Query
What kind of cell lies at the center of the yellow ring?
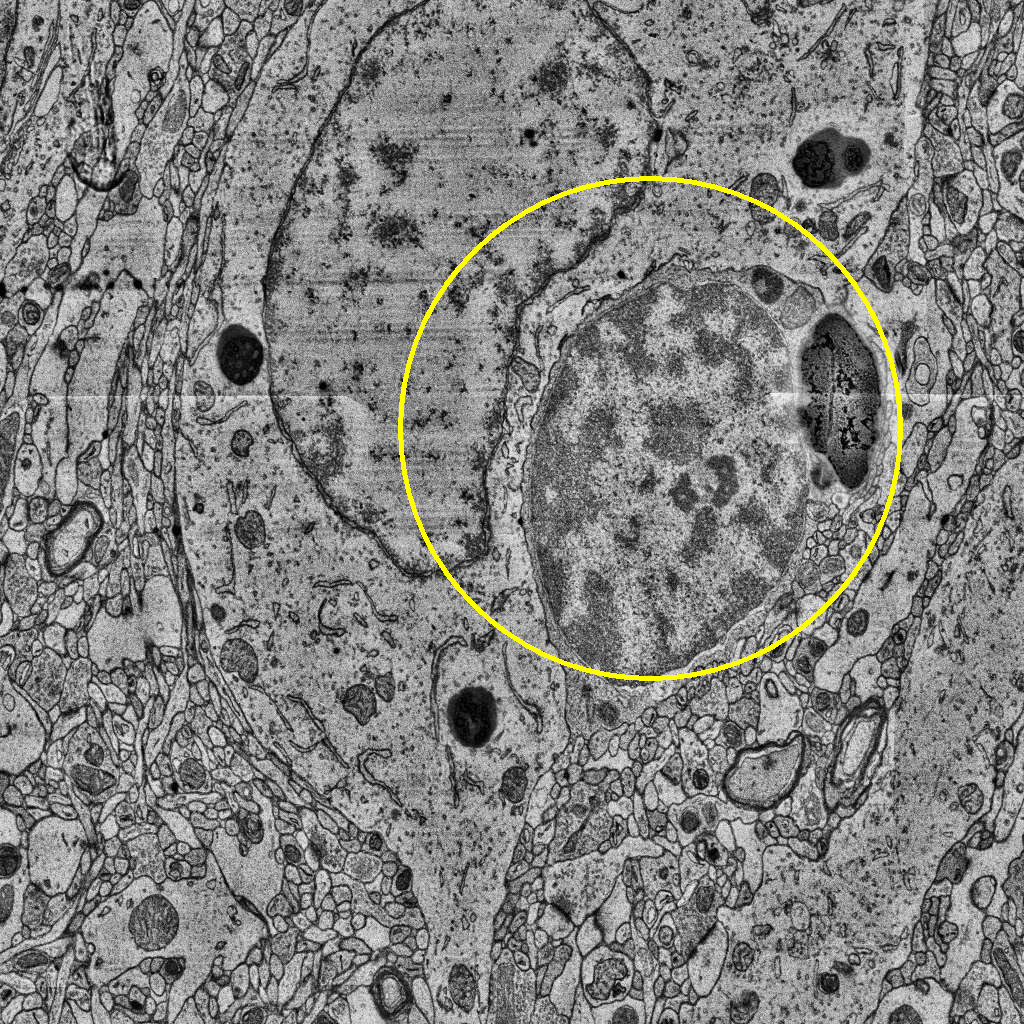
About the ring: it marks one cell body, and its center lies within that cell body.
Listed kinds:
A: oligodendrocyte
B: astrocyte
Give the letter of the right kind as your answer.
A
